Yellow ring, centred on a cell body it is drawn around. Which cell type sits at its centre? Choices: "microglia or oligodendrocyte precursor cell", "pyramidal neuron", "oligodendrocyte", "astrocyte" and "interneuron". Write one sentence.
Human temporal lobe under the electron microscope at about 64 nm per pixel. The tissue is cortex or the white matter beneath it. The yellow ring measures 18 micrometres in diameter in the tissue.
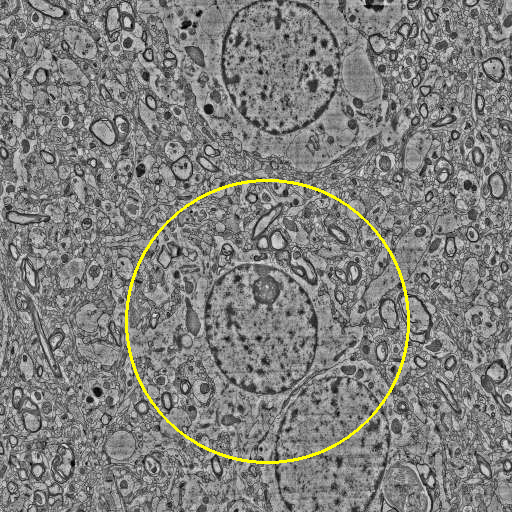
At the centre of the ring sits an astrocyte.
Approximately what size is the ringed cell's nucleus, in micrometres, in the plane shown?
In this plane the nucleus measures roughly 8 by 7 micrometres.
